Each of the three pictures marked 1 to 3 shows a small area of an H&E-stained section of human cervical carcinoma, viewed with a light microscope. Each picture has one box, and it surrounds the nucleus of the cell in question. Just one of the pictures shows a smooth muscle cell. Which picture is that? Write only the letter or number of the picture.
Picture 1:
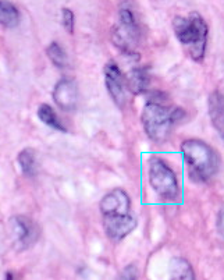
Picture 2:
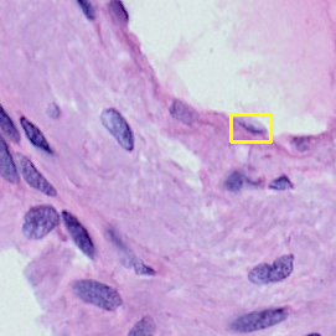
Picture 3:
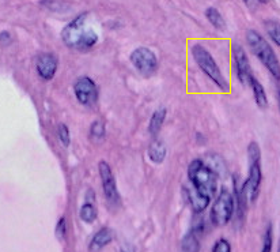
3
